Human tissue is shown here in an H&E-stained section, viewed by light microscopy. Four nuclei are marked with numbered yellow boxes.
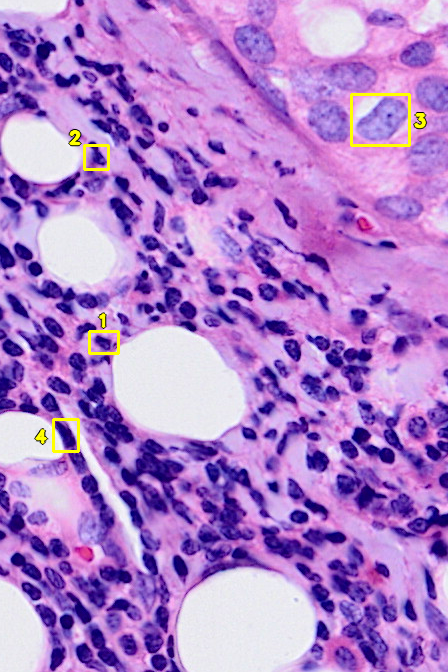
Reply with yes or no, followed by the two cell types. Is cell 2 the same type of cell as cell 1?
Yes, just like cell 2, cell 1 is one of the lymphocytes.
